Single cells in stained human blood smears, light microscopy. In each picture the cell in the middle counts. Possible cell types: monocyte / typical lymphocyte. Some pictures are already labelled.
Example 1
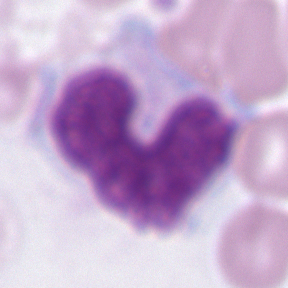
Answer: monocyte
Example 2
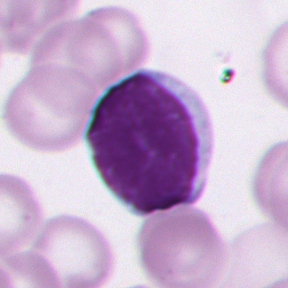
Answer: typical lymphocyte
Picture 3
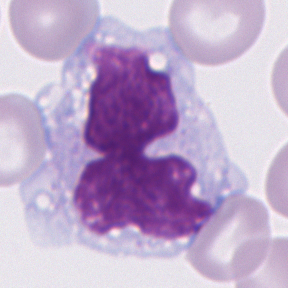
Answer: monocyte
